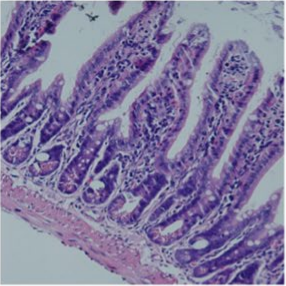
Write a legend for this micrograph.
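This is the mucosa of the small intestine, with tall, closely packed finger-like villi reaching up into the pale lumen. Each villus is covered by a single layer of columnar epithelial cells whose purple nuclei line up near the base of the cells, and its core is a loose lamina propria crowded with small dark nuclei. At the bottom of the villi lie the crypts, tubular glands cut in various planes, with densely packed nuclei. Beneath the crypts a band of pink smooth muscle runs along the lower left edge of the section.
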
